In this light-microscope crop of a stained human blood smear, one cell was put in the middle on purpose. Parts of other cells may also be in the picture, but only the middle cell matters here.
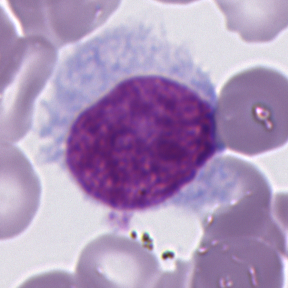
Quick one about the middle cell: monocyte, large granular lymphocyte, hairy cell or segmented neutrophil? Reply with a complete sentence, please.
In short, the cell at the center is a hairy cell.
